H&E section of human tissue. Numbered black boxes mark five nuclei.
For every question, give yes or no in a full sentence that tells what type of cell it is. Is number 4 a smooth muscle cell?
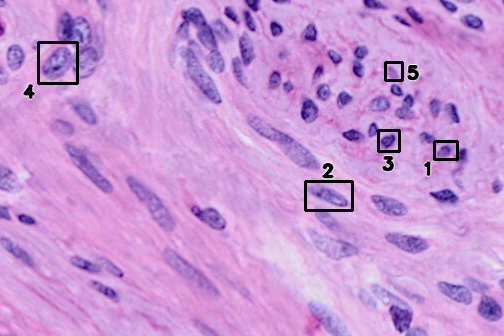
No, cell 4 is classified as an endothelial cell rather than a smooth muscle cell.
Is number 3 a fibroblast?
No, it's not a fibroblast at number 3; that cell is a smooth muscle cell.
